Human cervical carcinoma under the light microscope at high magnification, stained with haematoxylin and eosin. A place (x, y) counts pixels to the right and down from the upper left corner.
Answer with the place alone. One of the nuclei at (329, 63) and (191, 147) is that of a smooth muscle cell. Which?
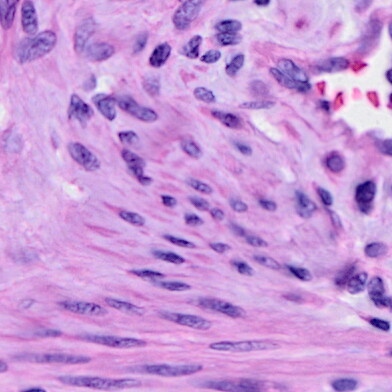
(191, 147)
